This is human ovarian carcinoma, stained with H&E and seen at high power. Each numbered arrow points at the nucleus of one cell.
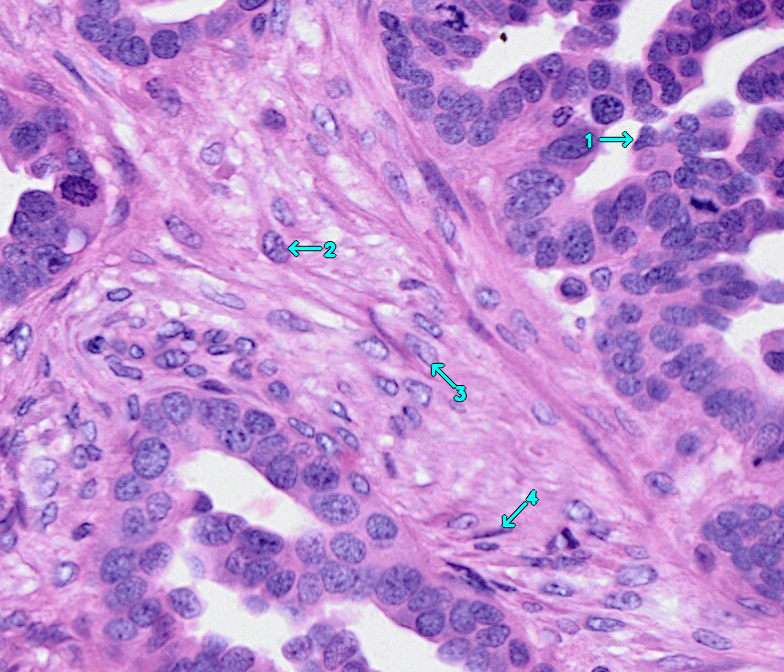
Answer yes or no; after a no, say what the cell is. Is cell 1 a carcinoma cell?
Yes.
